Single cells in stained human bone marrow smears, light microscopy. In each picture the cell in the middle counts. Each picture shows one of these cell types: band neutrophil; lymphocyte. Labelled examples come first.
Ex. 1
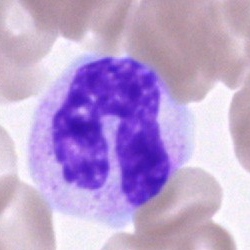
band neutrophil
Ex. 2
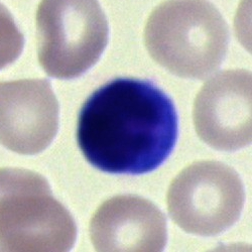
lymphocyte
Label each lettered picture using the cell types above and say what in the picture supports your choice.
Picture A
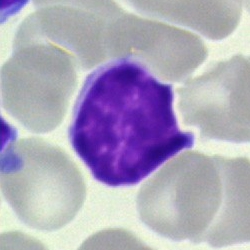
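lymphocyte. Evidence: Cytoplasm is scant, at most a thin rim at the edge of the cell.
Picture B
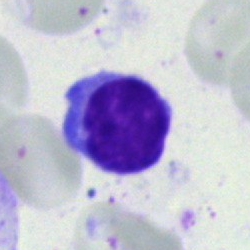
lymphocyte. Evidence: The cytoplasm is scant, forming a narrow rim that is widest on the left.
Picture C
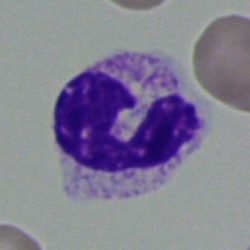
band neutrophil. Evidence: Fine lilac granules are scattered throughout the cytoplasm.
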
